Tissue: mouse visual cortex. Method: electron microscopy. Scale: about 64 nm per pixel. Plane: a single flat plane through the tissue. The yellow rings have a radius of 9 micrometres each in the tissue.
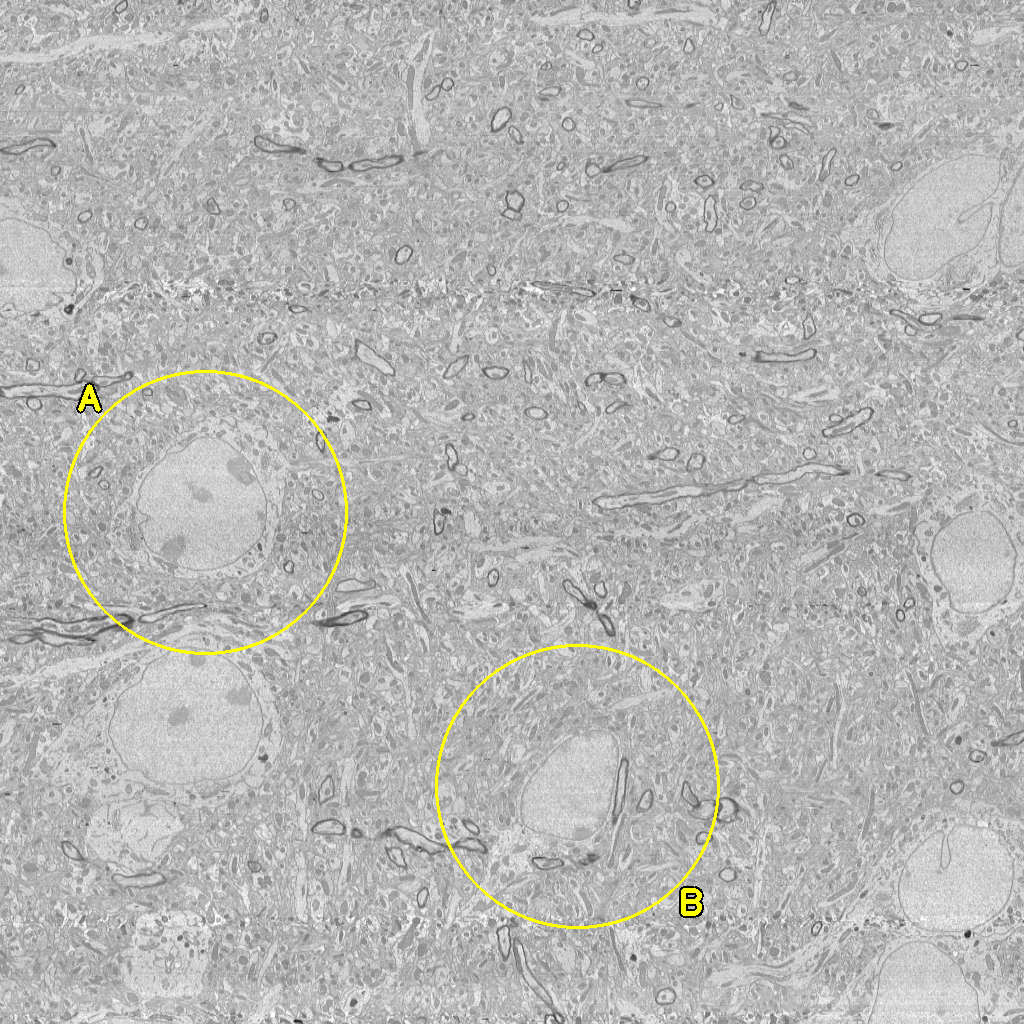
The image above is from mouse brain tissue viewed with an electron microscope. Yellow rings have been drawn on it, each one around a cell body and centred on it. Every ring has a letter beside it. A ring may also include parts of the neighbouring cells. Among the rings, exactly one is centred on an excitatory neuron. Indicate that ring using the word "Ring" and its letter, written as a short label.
Ring A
